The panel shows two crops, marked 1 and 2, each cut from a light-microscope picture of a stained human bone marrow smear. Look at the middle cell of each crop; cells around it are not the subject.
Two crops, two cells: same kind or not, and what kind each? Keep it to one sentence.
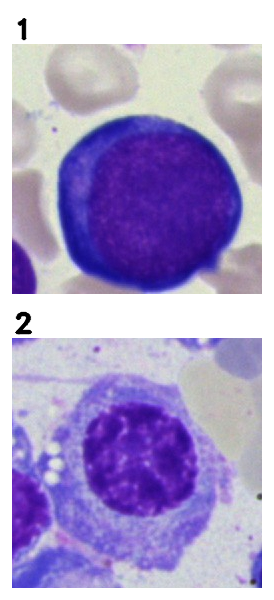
No, record crop 1 as a proerythroblast and crop 2 as a plasma cell.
